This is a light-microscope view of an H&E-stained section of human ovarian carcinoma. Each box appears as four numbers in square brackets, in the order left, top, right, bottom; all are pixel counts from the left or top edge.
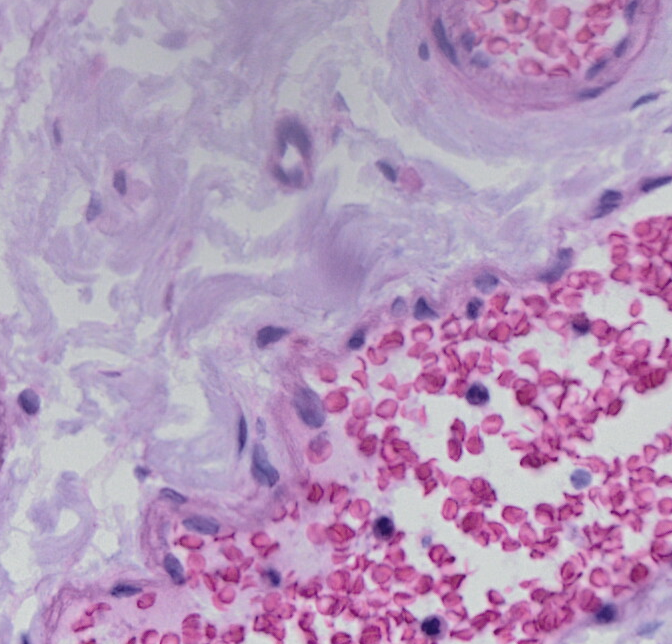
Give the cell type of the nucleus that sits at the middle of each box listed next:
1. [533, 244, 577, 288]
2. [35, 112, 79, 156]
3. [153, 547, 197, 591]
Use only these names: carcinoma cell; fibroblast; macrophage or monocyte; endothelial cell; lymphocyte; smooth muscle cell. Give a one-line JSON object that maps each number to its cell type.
{"1": "endothelial cell", "2": "fibroblast", "3": "endothelial cell"}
